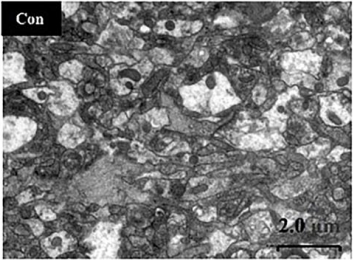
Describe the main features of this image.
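This is a transmission electron micrograph of densely packed brain tissue, made up of many small rounded and irregular membrane-bound profiles pressed against one another. No cell body with a nucleus stands out in this field, so what is seen is mostly the fine processes of nerve cells and their contacts.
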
